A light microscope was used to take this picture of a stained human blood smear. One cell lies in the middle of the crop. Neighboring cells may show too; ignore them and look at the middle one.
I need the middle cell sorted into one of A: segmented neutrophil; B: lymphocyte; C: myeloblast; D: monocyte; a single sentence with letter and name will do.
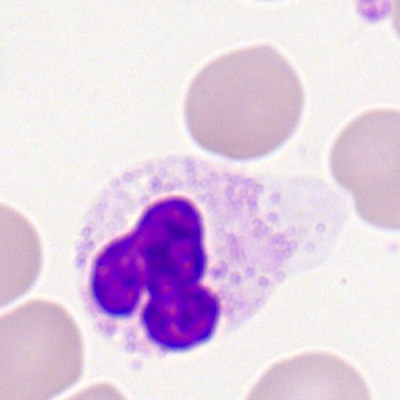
Option A is accurate; the centrally placed cell is a segmented neutrophil.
